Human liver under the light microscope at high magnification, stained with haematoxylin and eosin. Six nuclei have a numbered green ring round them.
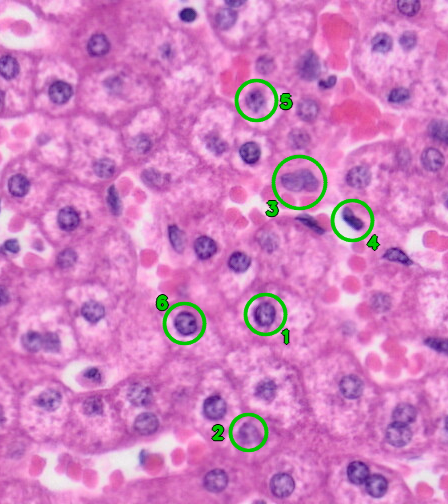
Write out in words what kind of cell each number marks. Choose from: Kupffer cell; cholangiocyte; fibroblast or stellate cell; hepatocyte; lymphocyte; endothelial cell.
Cells 1, 2, 5 and 6 are hepatocytes. Cell 3 is a Kupffer cell. Cell 4 is a lymphocyte.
